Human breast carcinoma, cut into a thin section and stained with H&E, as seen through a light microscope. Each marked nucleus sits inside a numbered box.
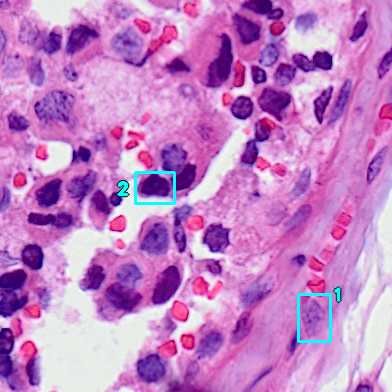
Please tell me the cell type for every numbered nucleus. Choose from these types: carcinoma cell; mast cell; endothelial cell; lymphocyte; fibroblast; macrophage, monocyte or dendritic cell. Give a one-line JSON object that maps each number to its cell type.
{"1": "endothelial cell", "2": "carcinoma cell"}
